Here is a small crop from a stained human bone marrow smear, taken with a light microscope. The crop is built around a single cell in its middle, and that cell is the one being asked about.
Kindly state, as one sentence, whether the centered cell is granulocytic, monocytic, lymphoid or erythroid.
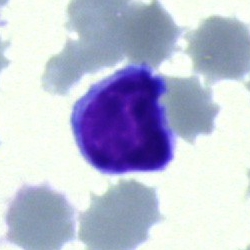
The cell in the crop's center is a cell of the lymphoid lineage.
